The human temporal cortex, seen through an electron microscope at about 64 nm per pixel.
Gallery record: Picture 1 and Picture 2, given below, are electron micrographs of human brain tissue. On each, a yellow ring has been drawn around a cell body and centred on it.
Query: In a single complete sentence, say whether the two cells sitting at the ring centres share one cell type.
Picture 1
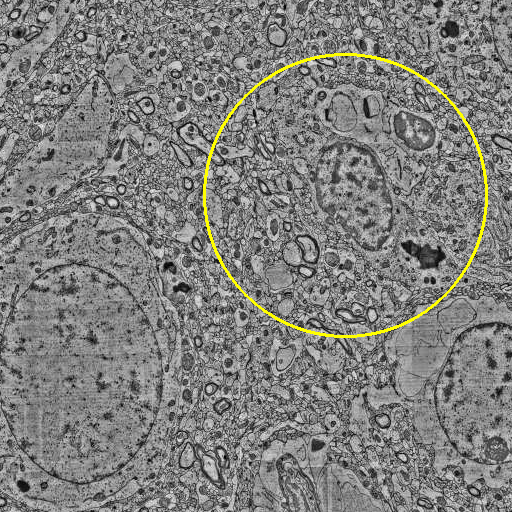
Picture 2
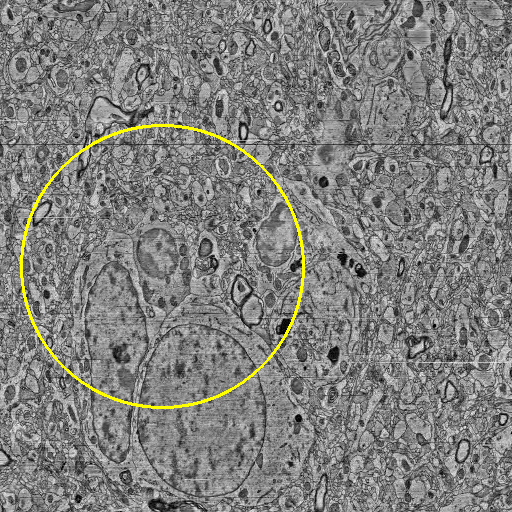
Yes, in both pictures the cell at the ring's centre is of one and the same type.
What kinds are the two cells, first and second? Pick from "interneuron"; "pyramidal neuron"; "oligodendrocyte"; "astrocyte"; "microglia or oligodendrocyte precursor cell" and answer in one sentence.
The ring centre holds an oligodendrocyte in each of the two pictures.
